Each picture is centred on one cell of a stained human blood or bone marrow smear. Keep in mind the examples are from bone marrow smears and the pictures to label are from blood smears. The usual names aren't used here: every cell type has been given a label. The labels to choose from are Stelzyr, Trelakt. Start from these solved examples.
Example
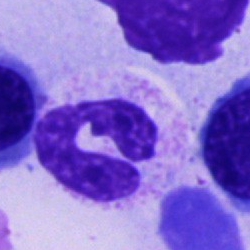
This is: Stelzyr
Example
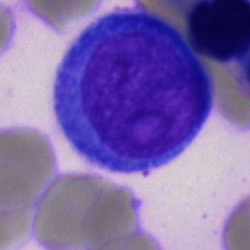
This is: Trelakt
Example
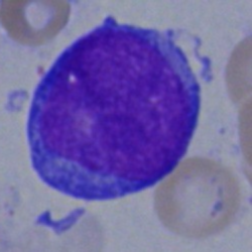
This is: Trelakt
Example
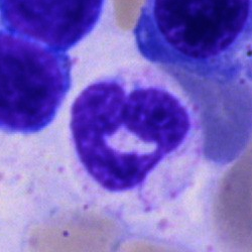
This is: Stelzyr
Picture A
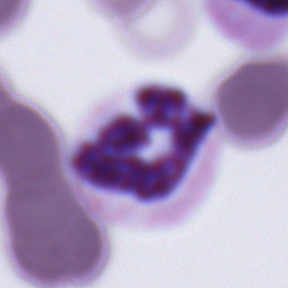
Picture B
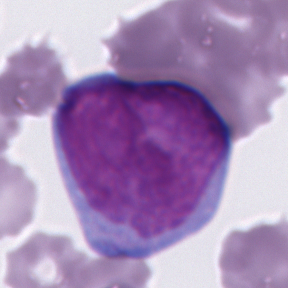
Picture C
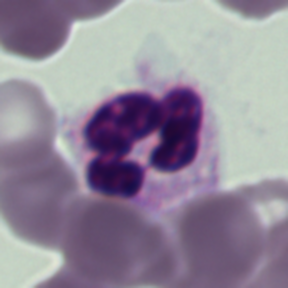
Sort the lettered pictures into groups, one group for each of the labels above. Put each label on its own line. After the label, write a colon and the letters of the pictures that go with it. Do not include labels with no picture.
Stelzyr: A, C
Trelakt: B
